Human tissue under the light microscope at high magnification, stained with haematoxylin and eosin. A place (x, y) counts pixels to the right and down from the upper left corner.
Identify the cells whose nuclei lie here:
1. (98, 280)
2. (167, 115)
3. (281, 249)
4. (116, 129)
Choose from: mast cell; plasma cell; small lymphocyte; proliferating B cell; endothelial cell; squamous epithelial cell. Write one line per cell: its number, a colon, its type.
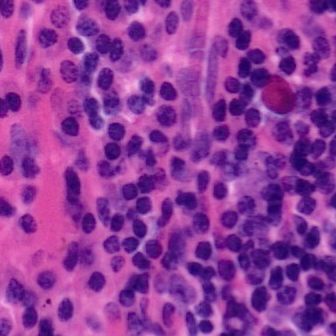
1: plasma cell
2: plasma cell
3: small lymphocyte
4: plasma cell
